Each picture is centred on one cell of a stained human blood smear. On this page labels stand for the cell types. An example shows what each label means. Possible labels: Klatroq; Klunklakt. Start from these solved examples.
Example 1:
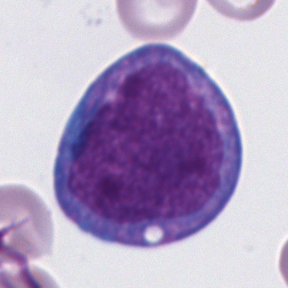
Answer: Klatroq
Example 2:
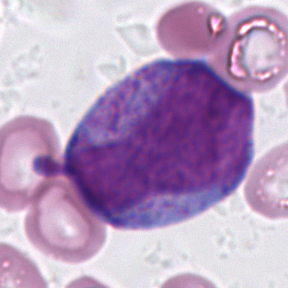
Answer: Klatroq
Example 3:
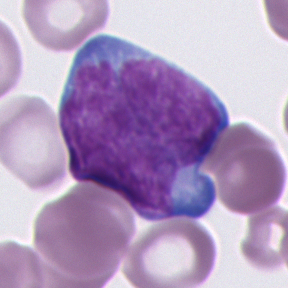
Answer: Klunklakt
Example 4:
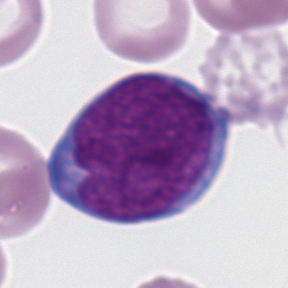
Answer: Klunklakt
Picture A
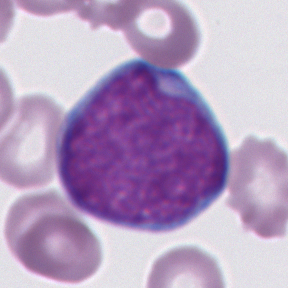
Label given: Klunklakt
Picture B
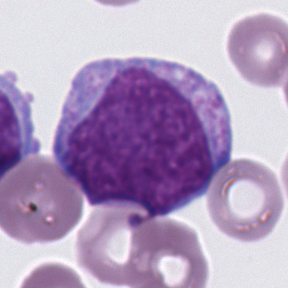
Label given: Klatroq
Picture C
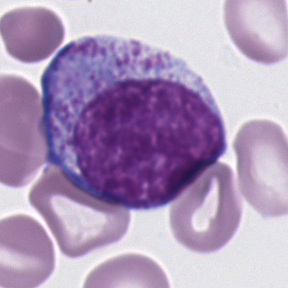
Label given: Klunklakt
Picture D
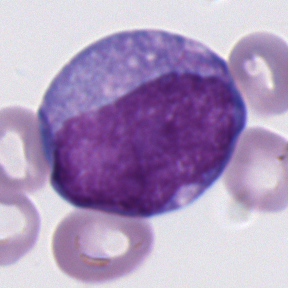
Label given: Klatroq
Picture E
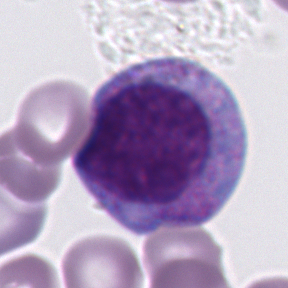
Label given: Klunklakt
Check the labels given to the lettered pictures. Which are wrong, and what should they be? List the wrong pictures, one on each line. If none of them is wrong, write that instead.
Wrong: C (Klunklakt); correct: Klatroq
Wrong: E (Klunklakt); correct: Klatroq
